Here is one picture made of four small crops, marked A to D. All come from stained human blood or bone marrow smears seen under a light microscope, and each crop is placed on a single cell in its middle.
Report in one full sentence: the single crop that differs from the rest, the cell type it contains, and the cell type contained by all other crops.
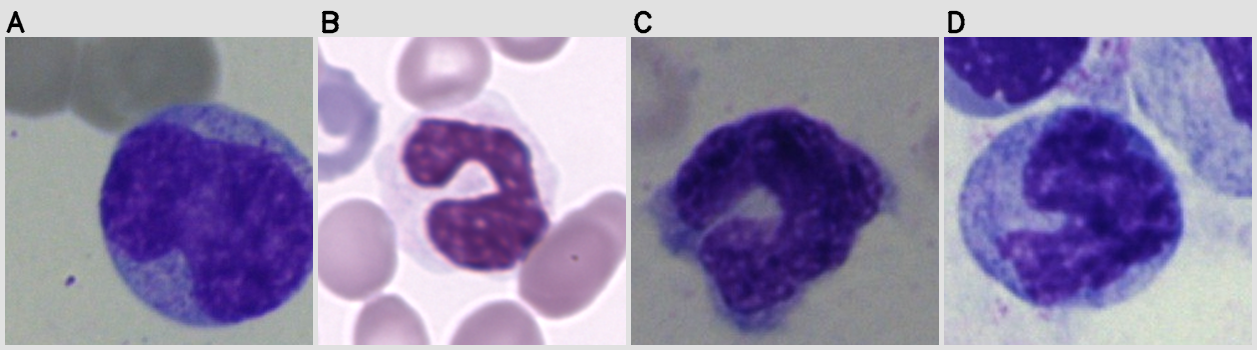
In contrast to the other crops, all of which show monocytes, crop B shows a band neutrophil.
